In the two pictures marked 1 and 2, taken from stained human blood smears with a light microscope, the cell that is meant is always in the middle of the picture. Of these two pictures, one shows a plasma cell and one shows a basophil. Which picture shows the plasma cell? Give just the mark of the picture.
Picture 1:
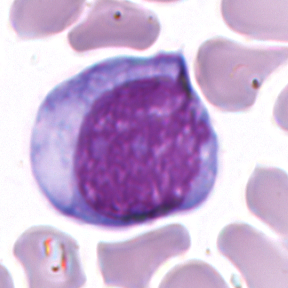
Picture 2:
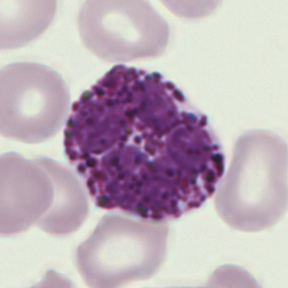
1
